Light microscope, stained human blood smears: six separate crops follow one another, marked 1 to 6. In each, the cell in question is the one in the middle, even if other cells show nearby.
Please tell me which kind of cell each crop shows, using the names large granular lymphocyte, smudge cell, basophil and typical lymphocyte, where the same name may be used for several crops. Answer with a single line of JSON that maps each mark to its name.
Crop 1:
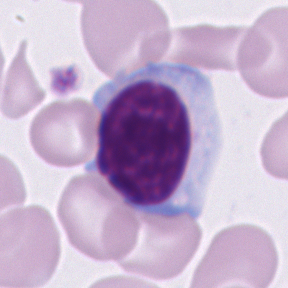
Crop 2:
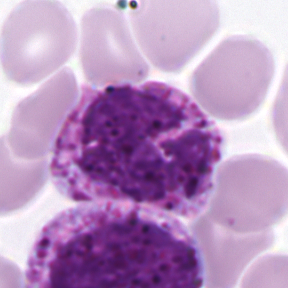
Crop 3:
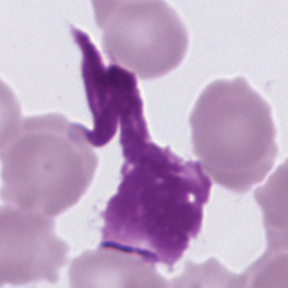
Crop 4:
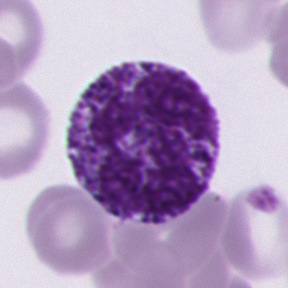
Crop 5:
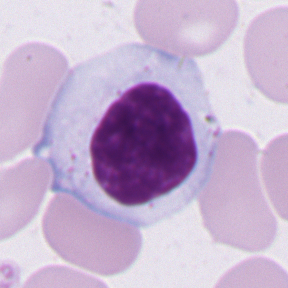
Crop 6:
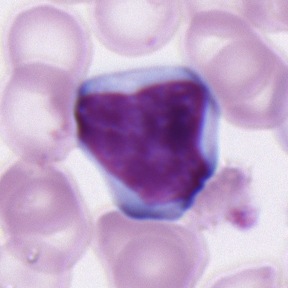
{"1": "typical lymphocyte", "2": "basophil", "3": "smudge cell", "4": "basophil", "5": "large granular lymphocyte", "6": "typical lymphocyte"}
